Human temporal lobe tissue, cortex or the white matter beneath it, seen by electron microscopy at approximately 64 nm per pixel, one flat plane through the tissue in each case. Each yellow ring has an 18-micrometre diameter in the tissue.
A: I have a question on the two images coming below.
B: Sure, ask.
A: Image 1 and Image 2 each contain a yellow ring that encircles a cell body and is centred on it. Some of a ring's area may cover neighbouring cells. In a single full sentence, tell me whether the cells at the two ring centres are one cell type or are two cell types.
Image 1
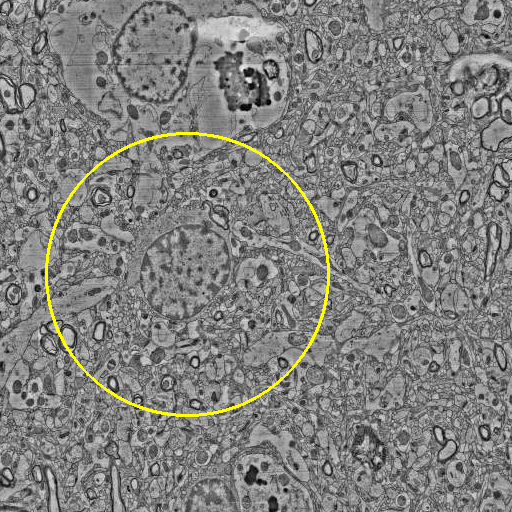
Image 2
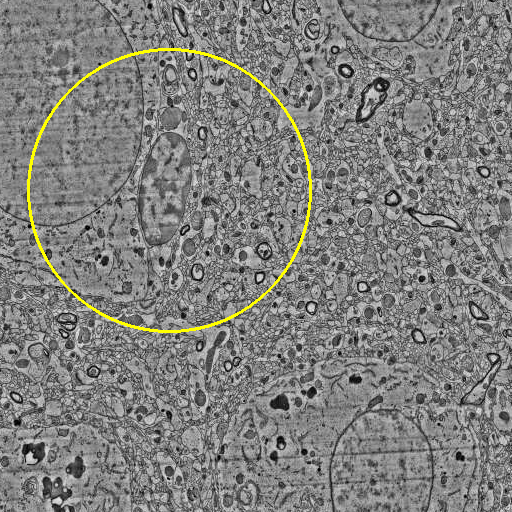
As for the ring-centre cells, the one in Image 1 and the one in Image 2 are two cell types.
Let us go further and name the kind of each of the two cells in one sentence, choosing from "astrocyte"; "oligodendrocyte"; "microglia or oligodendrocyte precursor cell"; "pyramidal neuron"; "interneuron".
The ring of the first picture is on an oligodendrocyte, the ring of the second on a microglial cell or oligodendrocyte precursor cell.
